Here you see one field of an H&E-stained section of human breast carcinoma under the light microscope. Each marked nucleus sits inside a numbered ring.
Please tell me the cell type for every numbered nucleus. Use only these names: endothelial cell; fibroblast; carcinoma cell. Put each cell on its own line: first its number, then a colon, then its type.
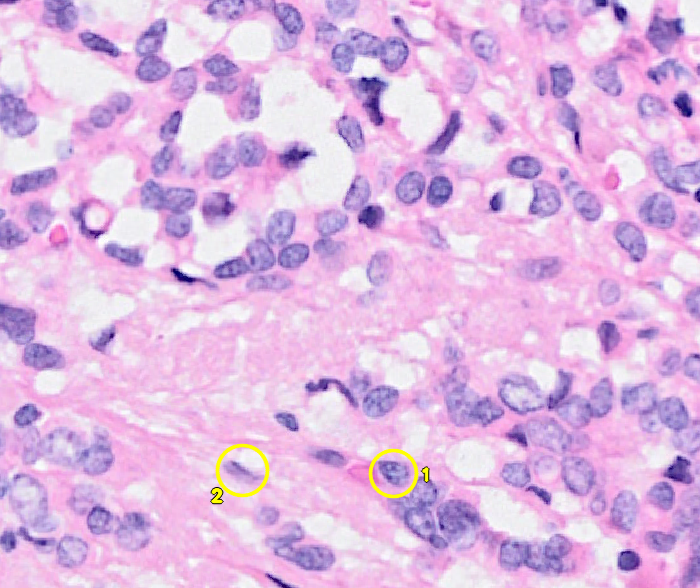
1: endothelial cell
2: fibroblast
